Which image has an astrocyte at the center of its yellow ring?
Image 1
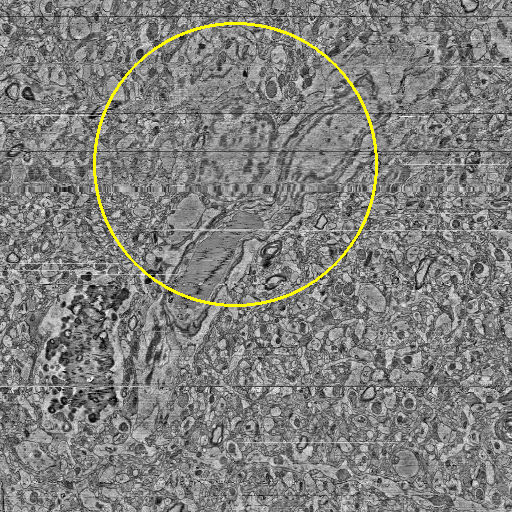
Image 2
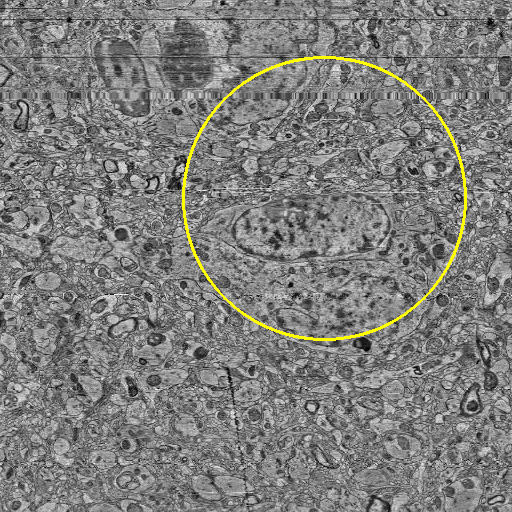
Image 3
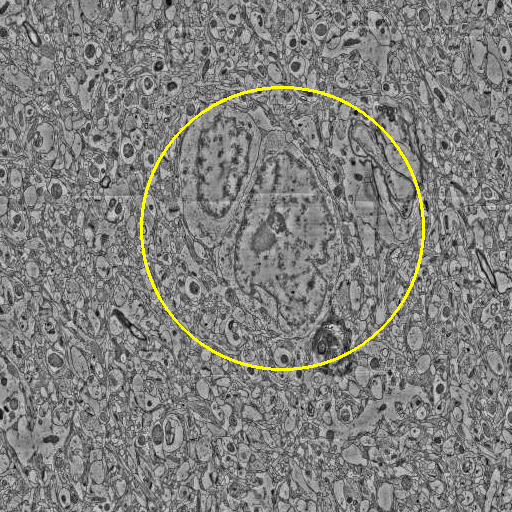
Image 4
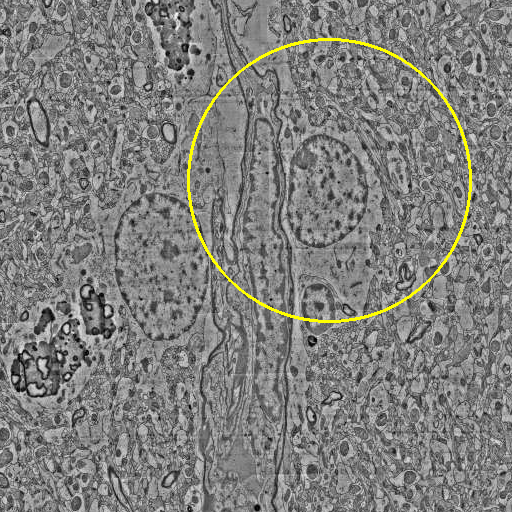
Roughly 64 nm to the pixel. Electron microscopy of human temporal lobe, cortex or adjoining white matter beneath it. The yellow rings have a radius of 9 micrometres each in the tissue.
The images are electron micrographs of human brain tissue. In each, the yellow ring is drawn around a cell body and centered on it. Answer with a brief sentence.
It is at the center of the ring in Image 4.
